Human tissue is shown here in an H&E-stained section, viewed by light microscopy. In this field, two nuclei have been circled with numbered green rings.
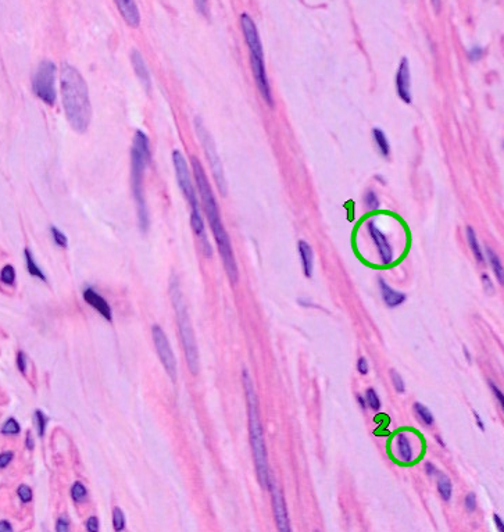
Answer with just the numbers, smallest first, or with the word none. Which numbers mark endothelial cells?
1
